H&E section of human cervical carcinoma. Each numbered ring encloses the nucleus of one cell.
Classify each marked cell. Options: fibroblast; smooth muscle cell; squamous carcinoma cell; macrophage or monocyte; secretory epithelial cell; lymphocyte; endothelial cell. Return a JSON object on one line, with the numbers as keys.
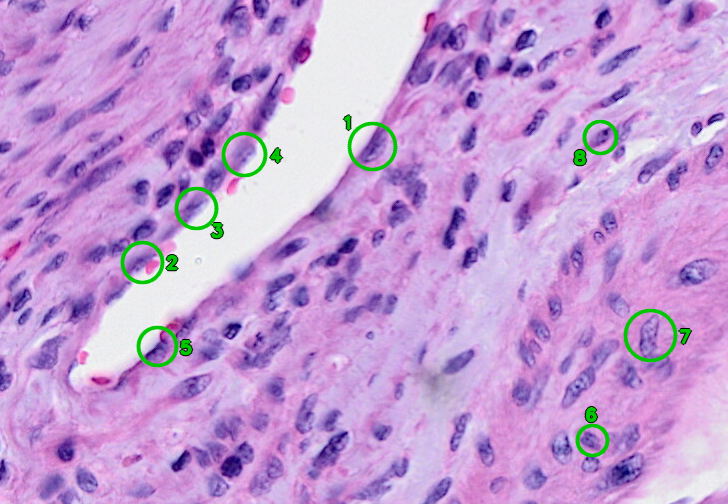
{"1": "endothelial cell", "2": "endothelial cell", "3": "endothelial cell", "4": "endothelial cell", "5": "endothelial cell", "6": "smooth muscle cell", "7": "smooth muscle cell", "8": "smooth muscle cell"}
